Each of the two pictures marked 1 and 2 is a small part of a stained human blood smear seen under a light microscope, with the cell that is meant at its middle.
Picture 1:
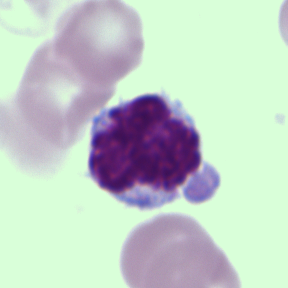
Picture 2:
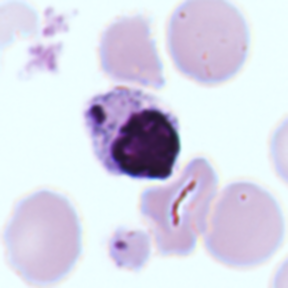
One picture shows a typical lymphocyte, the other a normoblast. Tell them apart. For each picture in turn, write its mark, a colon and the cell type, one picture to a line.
1: typical lymphocyte
2: normoblast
